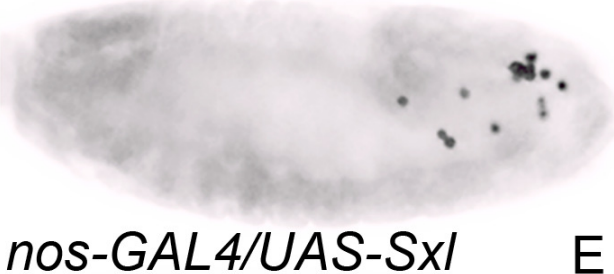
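This is a whole embryo seen from the side, with its germ cells showing as small dark round dots. Only part of them sit together in a small cluster toward the posterior end. Several others lie singly, scattered at some distance from that cluster and from each other. The rest of the embryo shows only faint background staining.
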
